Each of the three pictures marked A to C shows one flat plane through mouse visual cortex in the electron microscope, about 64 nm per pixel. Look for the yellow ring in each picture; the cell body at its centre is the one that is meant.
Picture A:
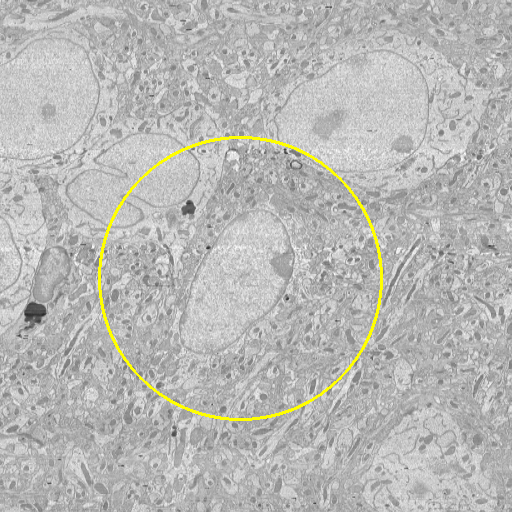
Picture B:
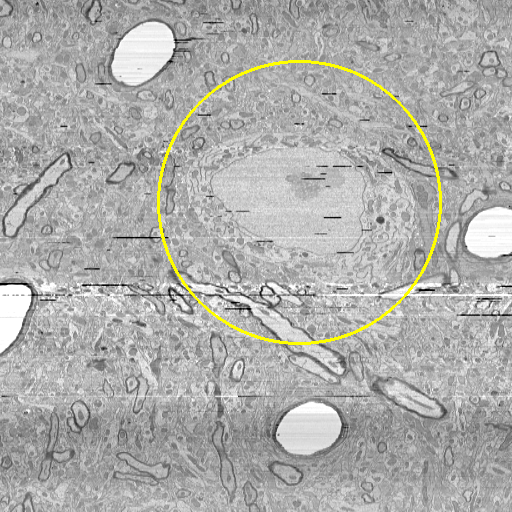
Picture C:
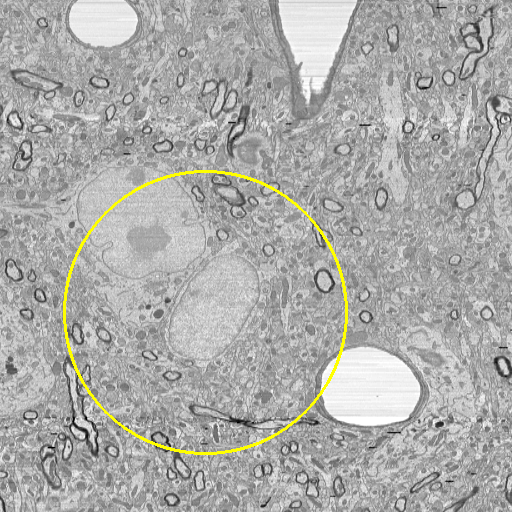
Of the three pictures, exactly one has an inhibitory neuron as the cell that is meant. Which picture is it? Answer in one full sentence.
The picture with the inhibitory neuron is B.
